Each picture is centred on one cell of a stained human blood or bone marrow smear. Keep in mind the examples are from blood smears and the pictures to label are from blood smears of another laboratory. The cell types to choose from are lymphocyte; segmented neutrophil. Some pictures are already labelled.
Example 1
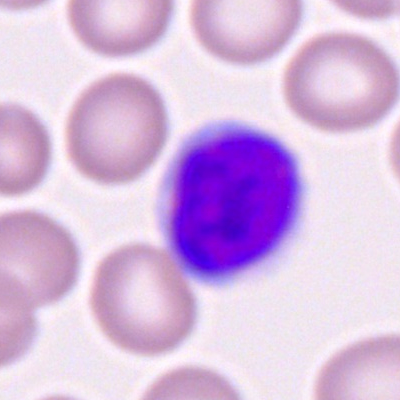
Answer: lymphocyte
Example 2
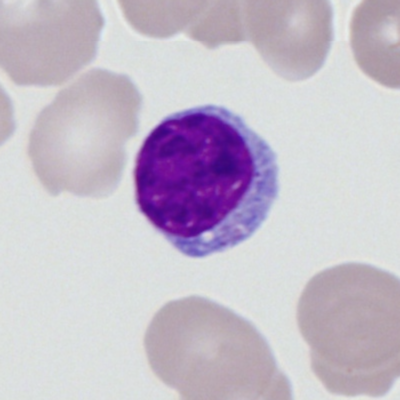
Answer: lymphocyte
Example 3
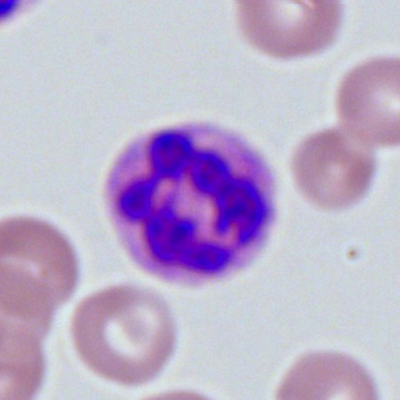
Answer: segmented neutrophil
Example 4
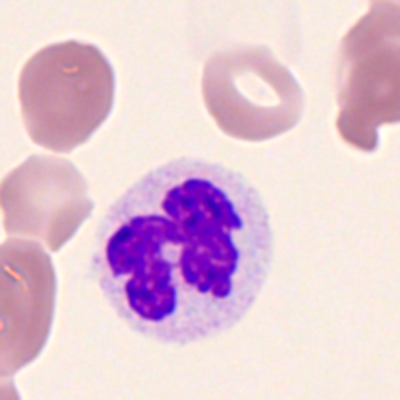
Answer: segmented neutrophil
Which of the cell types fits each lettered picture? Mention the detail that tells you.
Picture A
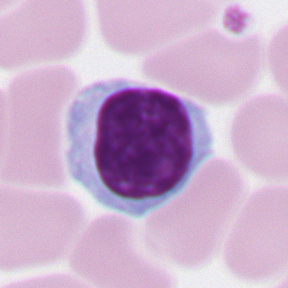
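Answer: lymphocyte. The nucleus fills most of the cell.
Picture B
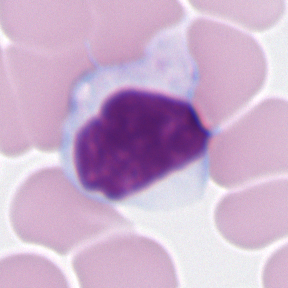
Answer: lymphocyte. The nucleus is a single unlobed mass.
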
